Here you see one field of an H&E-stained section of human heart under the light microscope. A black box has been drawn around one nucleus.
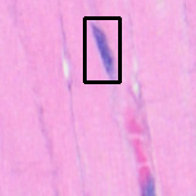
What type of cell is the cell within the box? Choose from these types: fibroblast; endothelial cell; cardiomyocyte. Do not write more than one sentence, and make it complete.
Assigned to a cell type, the cell within the box is an endothelial cell.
